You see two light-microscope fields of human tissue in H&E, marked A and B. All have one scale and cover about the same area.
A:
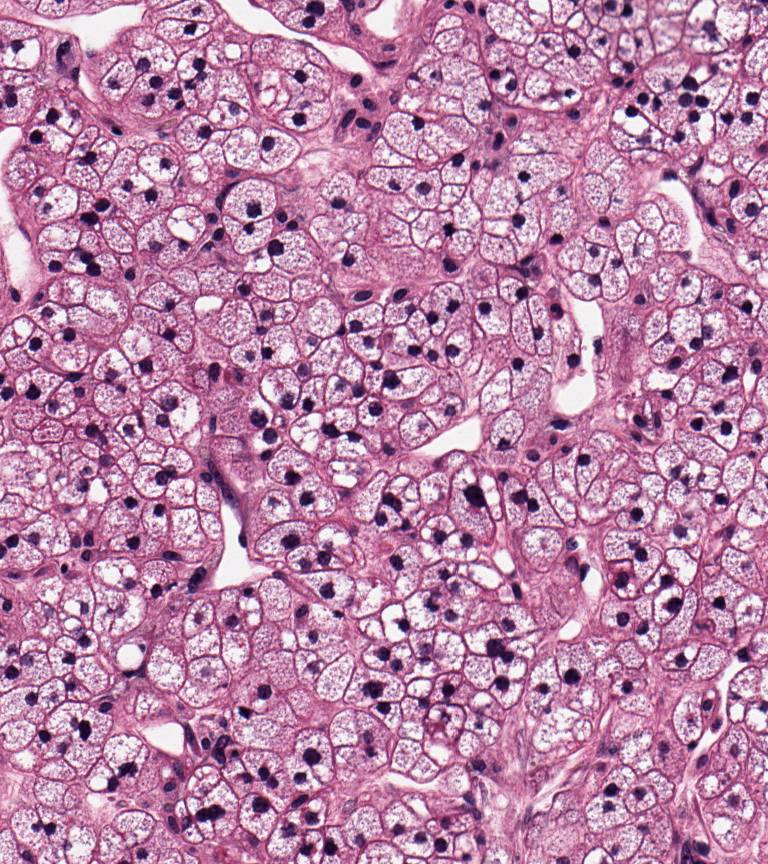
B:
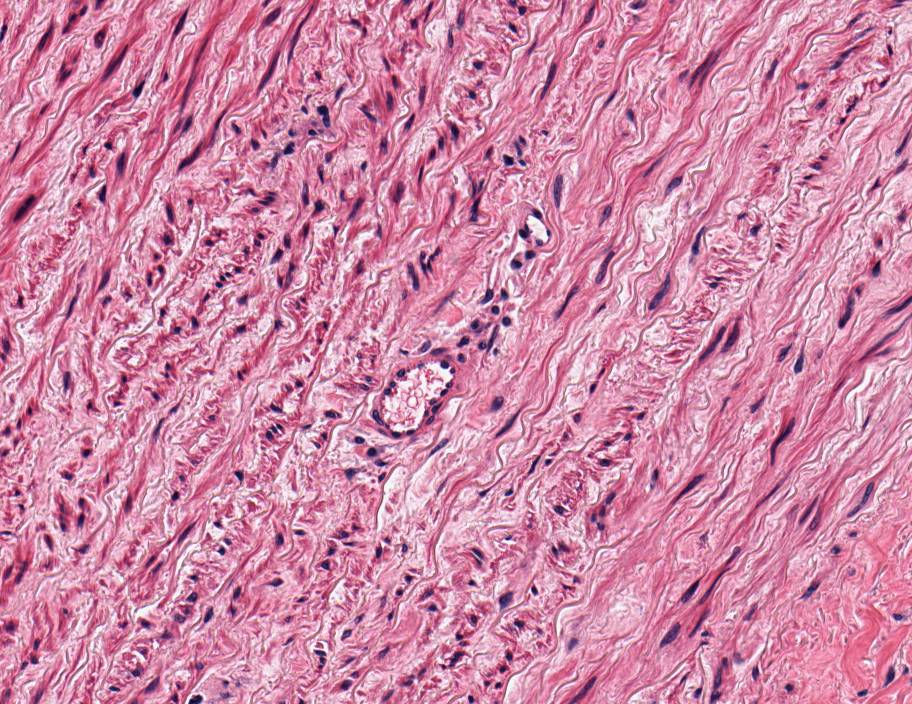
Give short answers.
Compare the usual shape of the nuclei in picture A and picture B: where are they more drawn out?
B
